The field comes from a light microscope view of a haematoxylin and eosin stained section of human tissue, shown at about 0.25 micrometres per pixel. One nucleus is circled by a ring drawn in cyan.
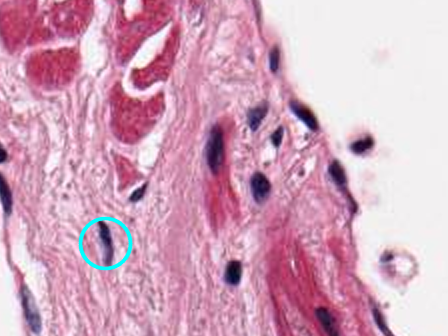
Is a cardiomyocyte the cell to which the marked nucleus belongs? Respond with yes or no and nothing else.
no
